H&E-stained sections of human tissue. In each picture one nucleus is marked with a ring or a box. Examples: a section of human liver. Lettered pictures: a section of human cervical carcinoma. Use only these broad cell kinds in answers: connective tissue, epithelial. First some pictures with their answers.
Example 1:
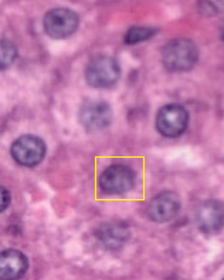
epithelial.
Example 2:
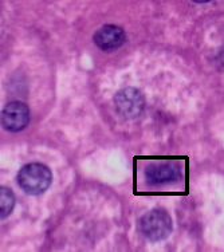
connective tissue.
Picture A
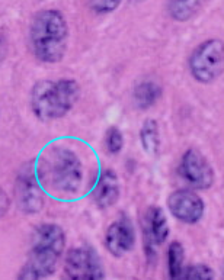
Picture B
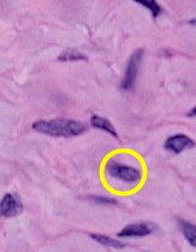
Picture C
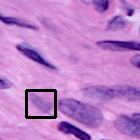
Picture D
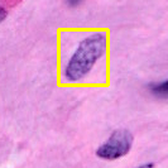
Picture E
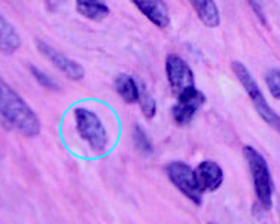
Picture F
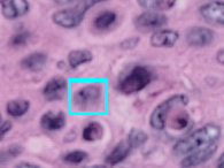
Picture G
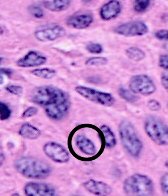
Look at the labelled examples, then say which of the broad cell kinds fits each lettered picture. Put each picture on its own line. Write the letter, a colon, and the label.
A: epithelial.
B: connective tissue.
C: connective tissue.
D: connective tissue.
E: connective tissue.
F: epithelial.
G: epithelial.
